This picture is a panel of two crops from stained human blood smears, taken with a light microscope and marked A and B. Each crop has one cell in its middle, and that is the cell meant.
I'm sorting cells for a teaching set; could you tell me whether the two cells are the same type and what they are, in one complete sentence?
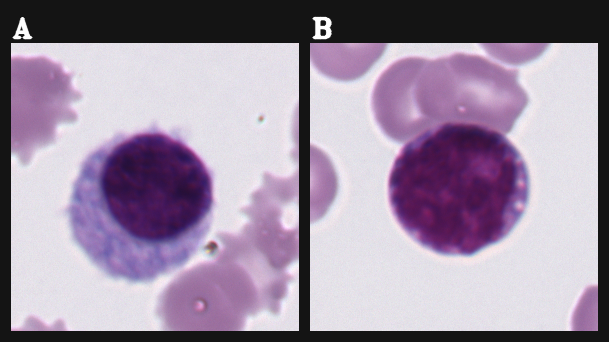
No, crop A represents a hairy cell, and crop B represents a myeloblast.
